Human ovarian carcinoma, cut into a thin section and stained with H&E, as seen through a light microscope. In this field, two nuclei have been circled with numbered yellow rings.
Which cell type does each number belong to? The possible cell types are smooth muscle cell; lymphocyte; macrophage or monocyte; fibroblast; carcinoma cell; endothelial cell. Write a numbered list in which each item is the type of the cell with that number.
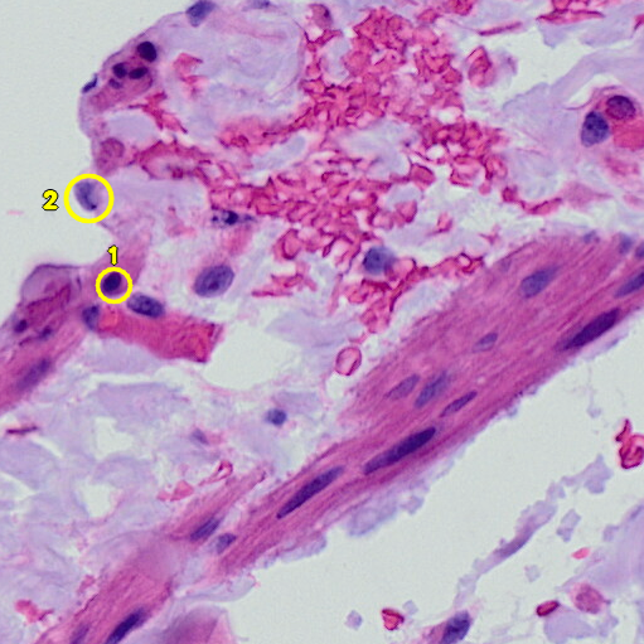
1. smooth muscle cell
2. endothelial cell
